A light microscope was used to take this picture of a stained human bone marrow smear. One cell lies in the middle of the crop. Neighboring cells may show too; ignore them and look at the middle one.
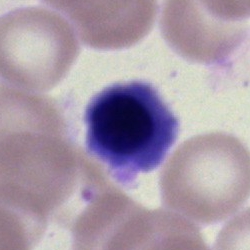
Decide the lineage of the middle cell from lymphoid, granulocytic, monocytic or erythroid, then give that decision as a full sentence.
On lineage, the cell in the middle of the crop is erythroid.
